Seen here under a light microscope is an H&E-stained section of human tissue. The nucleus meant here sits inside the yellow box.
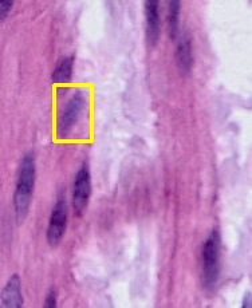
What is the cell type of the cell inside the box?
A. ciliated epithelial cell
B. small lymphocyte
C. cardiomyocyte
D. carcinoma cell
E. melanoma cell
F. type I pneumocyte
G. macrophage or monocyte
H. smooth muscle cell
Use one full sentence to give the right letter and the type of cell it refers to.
Here the cell inside the box is a smooth muscle cell; pick option H.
